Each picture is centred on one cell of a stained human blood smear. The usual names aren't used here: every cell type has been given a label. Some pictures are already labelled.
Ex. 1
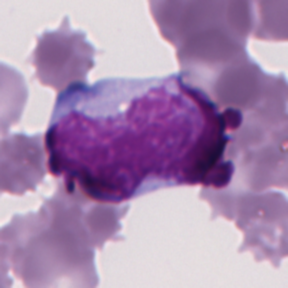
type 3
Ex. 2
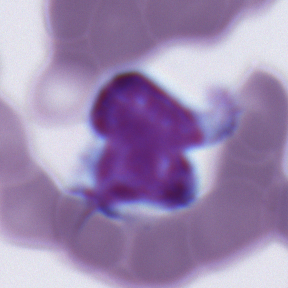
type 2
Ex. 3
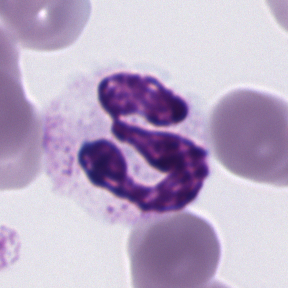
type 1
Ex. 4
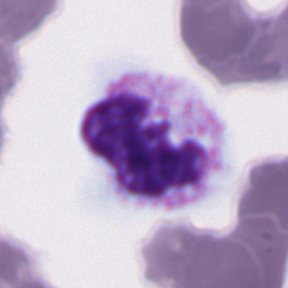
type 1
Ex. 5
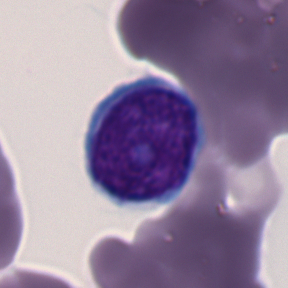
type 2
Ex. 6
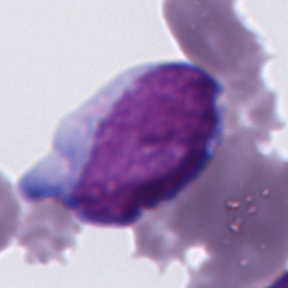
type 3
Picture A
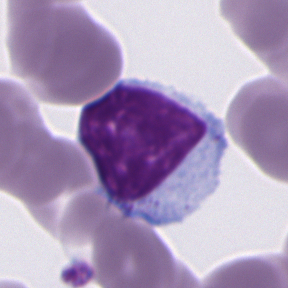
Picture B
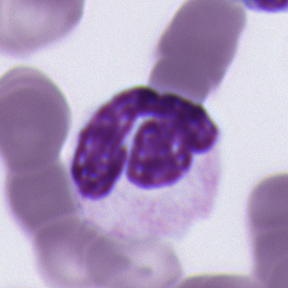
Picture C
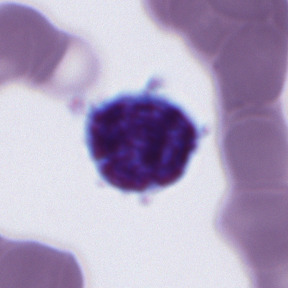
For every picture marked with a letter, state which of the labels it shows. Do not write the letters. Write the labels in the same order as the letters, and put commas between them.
type 2, type 1, type 2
